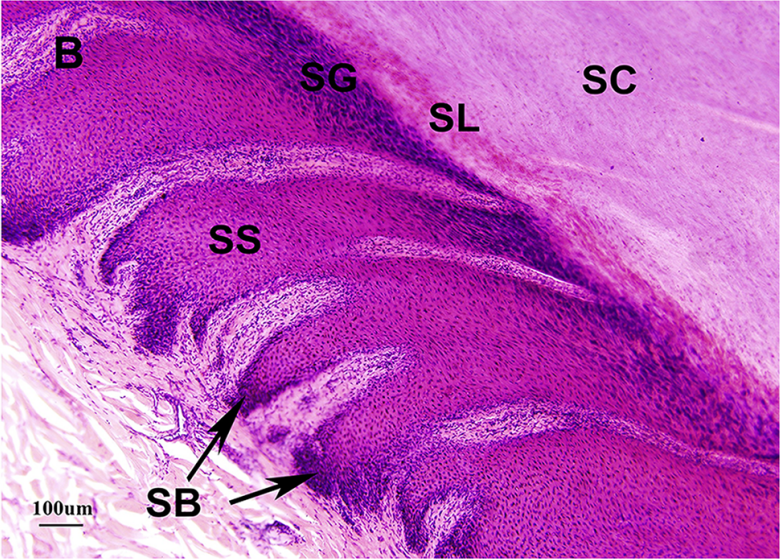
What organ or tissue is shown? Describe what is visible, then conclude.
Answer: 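A stratified epithelium with a dark basal layer, a broad middle layer, a dark band and a thick pale surface layer. Deep ridges of epithelium project down into pale fibrous connective tissue.
Epidermis.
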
